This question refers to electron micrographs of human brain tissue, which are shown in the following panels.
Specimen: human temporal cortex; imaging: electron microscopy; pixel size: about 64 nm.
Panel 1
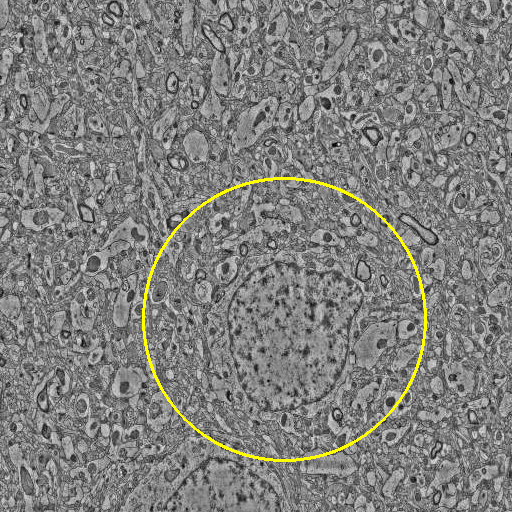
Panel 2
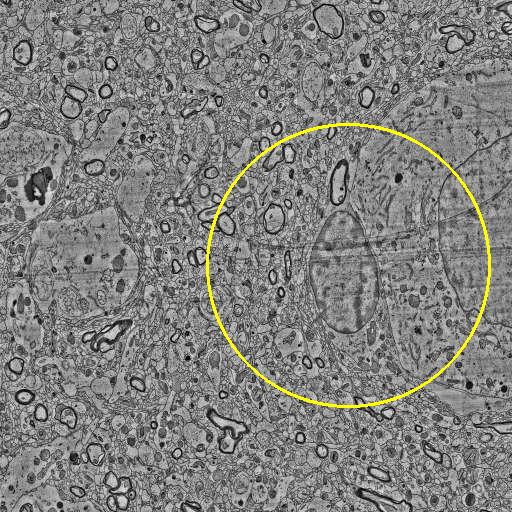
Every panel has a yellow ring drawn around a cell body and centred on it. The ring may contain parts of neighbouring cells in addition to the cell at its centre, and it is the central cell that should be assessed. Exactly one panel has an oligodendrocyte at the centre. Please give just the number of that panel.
2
